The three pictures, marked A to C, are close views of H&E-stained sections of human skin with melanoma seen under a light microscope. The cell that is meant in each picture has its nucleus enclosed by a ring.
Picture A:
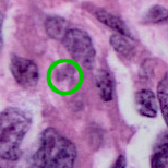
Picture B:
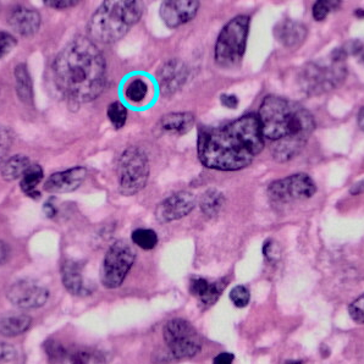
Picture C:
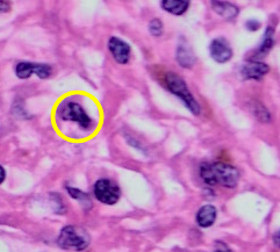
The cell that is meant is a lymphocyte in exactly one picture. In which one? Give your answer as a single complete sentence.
Picture B is the one that shows the lymphocyte.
